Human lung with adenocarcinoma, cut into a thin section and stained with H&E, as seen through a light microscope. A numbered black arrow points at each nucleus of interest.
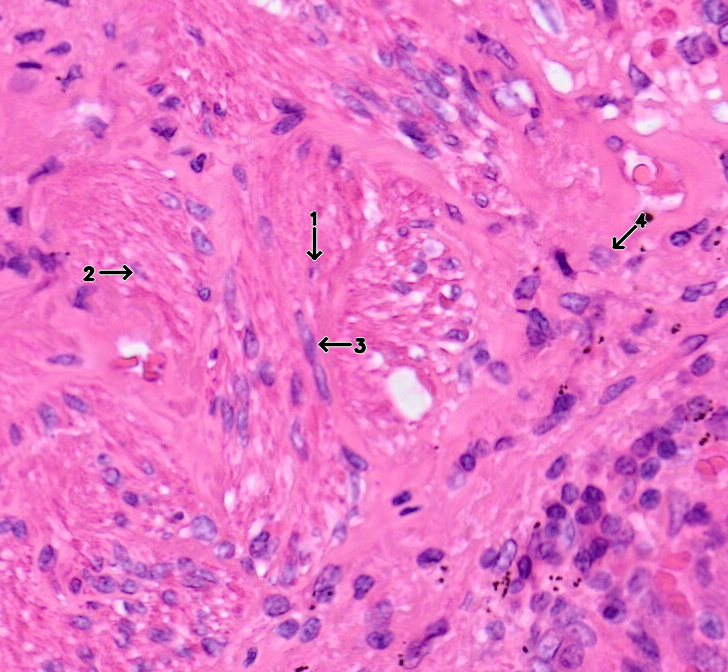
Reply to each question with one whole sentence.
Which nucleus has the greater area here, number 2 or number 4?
Number 4 is larger; its area is about 2.5 times that of number 2.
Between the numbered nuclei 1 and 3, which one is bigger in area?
Number 3 is larger; its area is about 3 times that of number 1.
